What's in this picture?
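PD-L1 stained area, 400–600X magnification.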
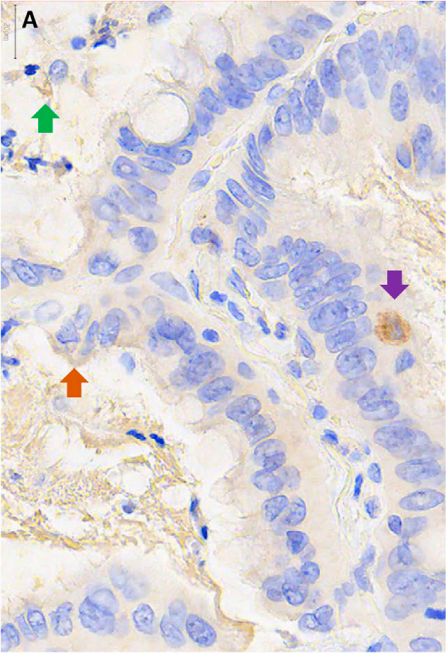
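Columnar epithelial cells line glandular spaces in curved rows, with elongated to oval blue-stained nuclei crowded and stacked along the lining and pale cytoplasm. Thin strands of stroma with small dark spindle-shaped nuclei run between the glands, and a small round cell with brown-stained cytoplasm lies beside the epithelium. Most of the epithelium shows little or no brown staining.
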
